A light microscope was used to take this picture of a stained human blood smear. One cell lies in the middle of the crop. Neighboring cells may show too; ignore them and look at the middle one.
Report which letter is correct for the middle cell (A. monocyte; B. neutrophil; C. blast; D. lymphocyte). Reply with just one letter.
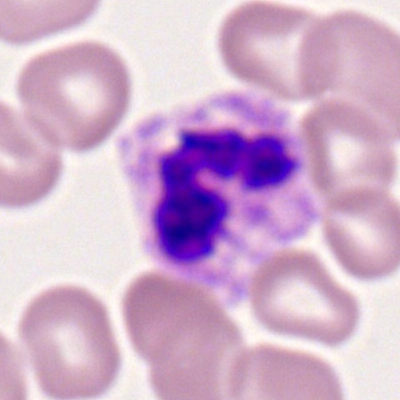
B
